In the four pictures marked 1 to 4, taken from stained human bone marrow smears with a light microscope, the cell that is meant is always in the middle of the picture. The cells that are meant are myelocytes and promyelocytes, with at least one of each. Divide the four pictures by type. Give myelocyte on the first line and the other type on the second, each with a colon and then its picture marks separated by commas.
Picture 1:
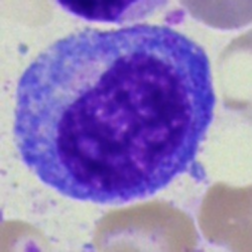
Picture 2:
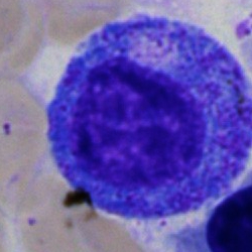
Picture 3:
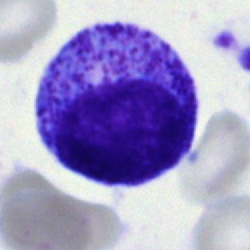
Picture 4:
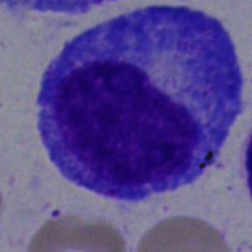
myelocyte: 3
promyelocyte: 1, 2, 4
